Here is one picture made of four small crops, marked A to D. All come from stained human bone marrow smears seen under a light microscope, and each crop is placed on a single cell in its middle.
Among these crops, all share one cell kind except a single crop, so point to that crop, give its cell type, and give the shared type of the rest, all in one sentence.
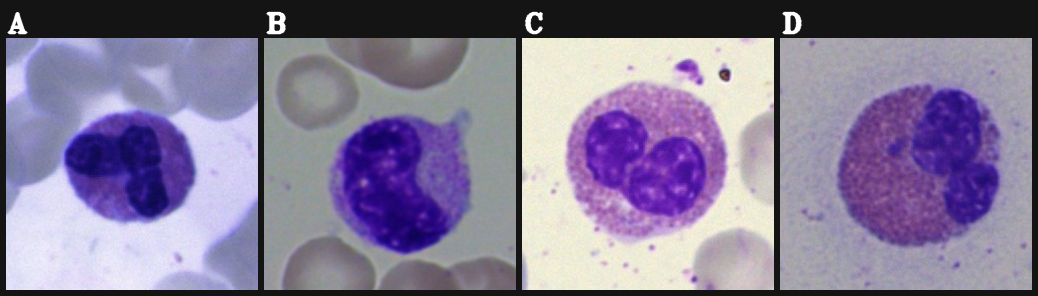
Crop B is a metamyelocyte, while the rest of the set consists of eosinophils.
